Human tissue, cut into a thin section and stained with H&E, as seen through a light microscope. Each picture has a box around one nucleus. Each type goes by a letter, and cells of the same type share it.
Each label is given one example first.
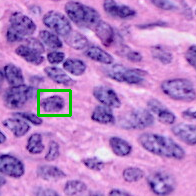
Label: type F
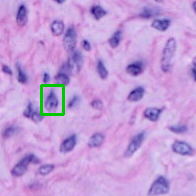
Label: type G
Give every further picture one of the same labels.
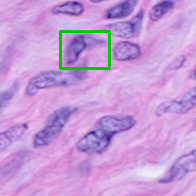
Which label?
type G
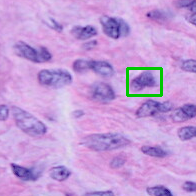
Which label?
type G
